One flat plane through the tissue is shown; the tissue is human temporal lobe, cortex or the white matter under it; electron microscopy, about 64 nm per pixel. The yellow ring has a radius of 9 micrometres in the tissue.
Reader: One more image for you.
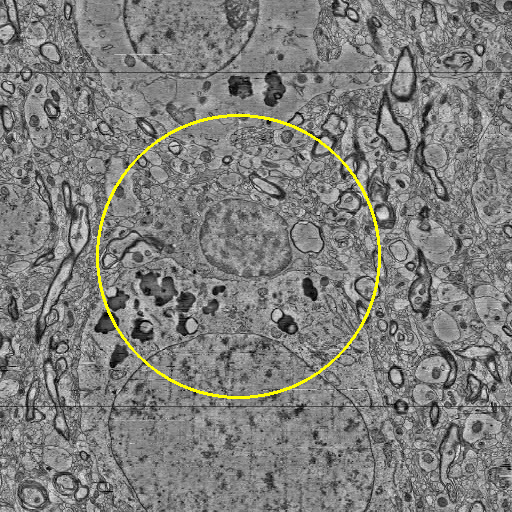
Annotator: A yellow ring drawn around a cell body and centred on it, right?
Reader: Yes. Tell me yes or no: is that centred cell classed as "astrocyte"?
no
